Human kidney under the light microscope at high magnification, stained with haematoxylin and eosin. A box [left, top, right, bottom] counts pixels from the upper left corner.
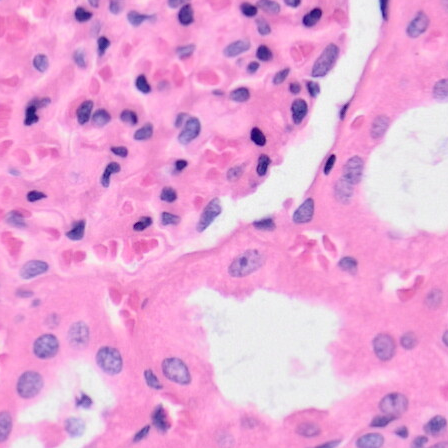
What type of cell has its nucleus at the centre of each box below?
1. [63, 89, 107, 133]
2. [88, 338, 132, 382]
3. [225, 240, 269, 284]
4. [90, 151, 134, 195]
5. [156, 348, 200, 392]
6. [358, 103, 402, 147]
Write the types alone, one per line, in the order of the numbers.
endothelial cell
loop of Henle or distal tubule cell
proximal tubule cell
endothelial cell
proximal tubule cell
loop of Henle or distal tubule cell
